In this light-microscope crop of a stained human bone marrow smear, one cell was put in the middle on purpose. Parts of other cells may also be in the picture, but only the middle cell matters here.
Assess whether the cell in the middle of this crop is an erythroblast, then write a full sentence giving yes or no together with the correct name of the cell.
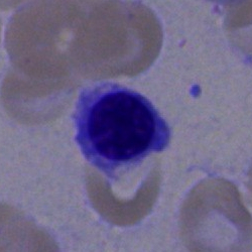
Yes, the cell at the very centre of the crop is an erythroblast.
